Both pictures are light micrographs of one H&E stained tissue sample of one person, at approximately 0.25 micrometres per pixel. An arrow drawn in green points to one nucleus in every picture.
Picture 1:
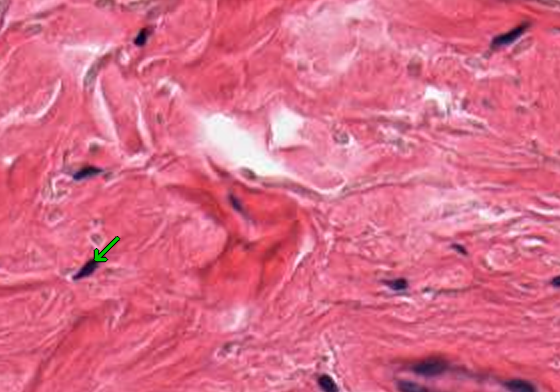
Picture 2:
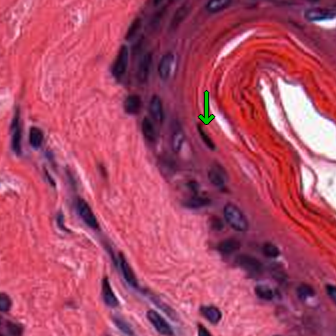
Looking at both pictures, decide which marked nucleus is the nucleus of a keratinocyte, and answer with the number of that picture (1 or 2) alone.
2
